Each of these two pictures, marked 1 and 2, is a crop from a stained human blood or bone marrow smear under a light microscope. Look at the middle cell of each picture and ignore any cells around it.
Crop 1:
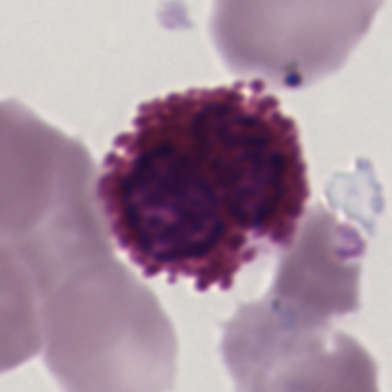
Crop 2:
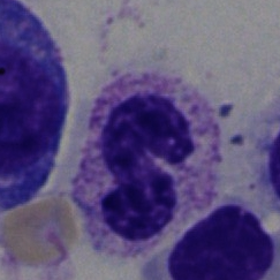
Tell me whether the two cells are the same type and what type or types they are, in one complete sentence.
No, crop 1 shows an eosinophil, and the cell in crop 2 is a segmented neutrophil.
